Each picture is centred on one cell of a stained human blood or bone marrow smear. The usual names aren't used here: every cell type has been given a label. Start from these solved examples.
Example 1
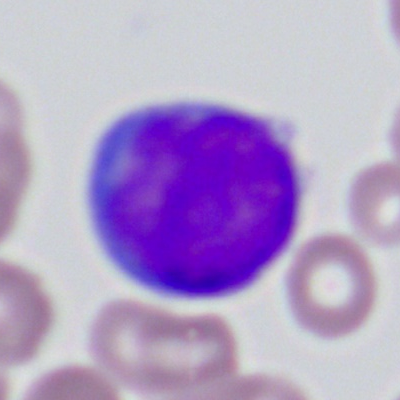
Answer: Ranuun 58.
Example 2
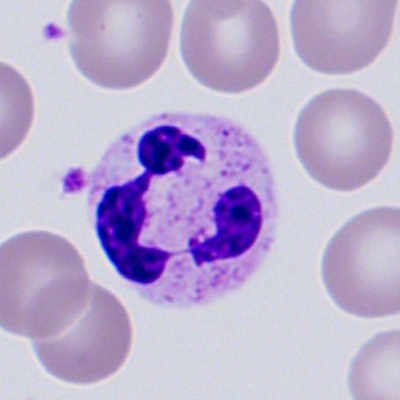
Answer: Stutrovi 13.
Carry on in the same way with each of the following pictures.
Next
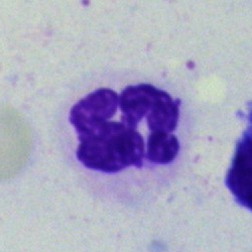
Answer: Stutrovi 13.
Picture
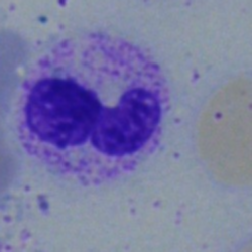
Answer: Stutrovi 13.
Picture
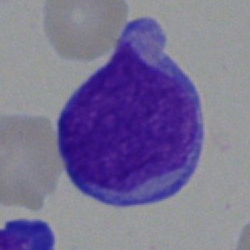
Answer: Ranuun 58.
